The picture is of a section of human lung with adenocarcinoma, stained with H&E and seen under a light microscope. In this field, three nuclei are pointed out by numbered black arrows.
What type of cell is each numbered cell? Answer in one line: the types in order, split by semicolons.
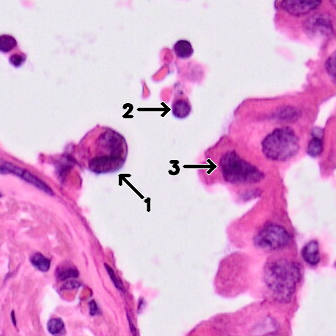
carcinoma cell; lymphocyte; carcinoma cell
